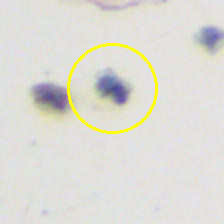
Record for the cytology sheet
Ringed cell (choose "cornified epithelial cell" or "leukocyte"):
leukocyte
